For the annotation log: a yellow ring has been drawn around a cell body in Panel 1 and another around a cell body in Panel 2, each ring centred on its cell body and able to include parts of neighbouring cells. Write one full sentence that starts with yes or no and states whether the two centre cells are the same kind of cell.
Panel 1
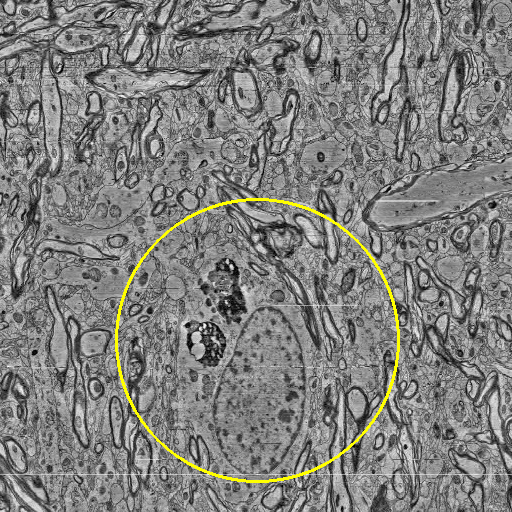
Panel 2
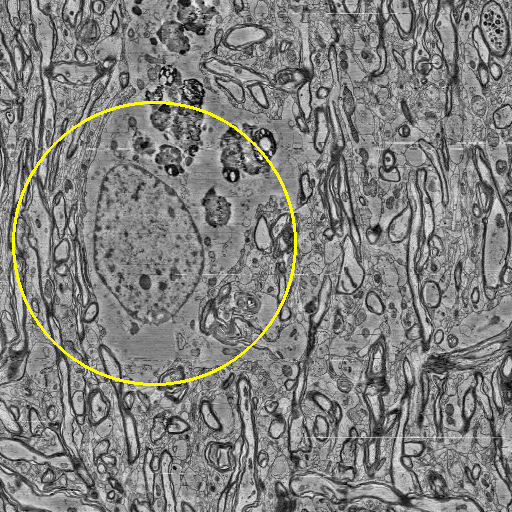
Yes, the two centre cells are the same kind of cell.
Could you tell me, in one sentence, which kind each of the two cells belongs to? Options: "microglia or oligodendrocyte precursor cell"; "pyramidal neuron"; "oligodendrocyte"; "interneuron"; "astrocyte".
Each of the ringed cells, first and second, is an astrocyte.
